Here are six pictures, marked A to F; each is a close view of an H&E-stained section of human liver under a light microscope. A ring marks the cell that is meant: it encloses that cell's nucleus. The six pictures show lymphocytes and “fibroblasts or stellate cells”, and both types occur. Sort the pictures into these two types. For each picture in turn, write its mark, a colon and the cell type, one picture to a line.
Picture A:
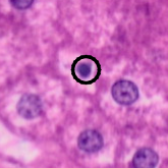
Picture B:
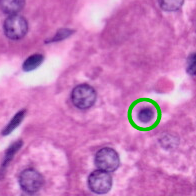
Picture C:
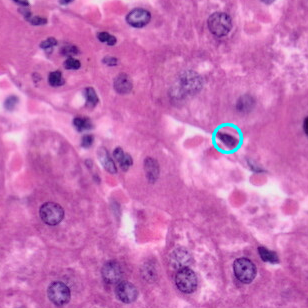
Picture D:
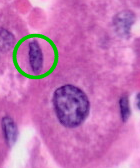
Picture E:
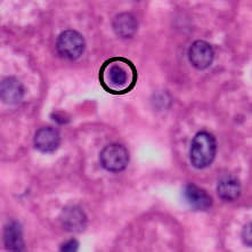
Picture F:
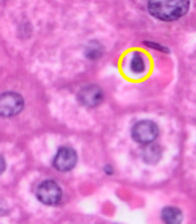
A: lymphocyte
B: lymphocyte
C: fibroblast or stellate cell
D: fibroblast or stellate cell
E: lymphocyte
F: lymphocyte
